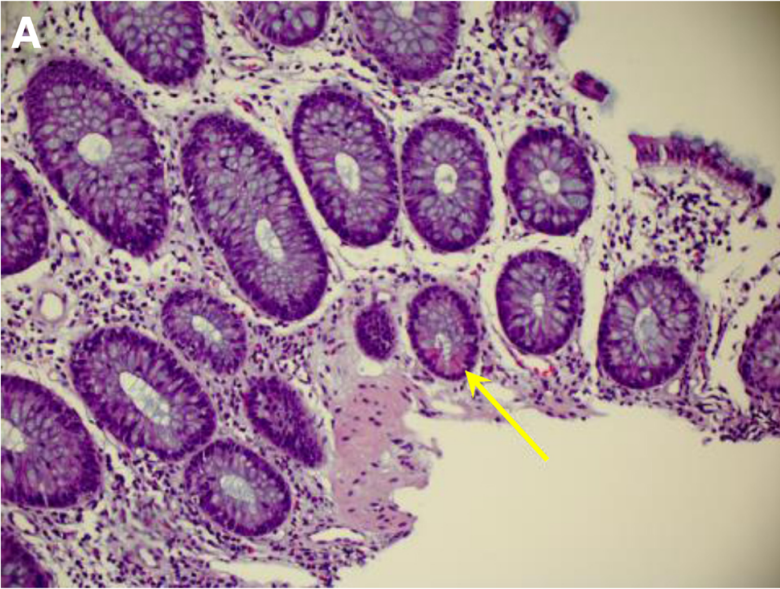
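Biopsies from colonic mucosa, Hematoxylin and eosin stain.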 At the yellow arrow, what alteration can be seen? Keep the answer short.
Paneth cell metaplasia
